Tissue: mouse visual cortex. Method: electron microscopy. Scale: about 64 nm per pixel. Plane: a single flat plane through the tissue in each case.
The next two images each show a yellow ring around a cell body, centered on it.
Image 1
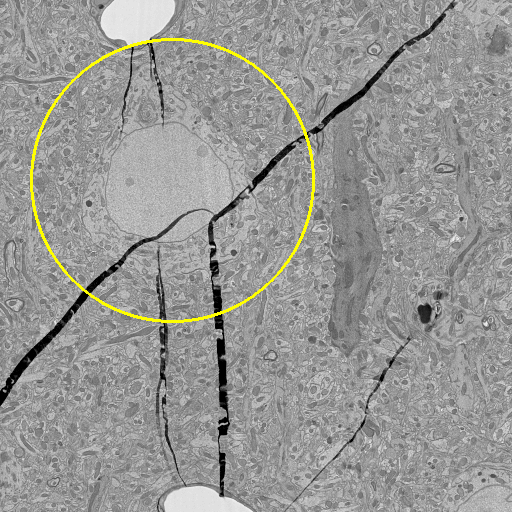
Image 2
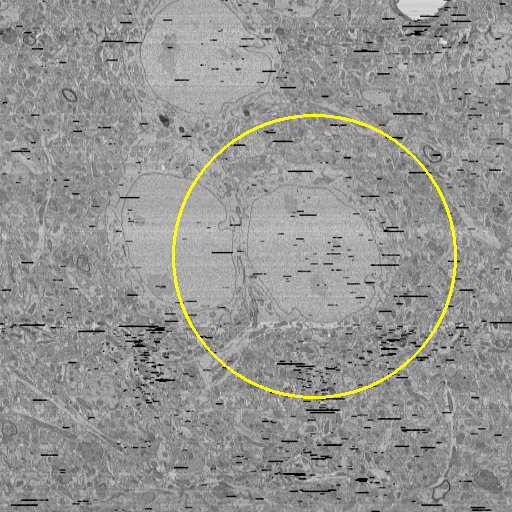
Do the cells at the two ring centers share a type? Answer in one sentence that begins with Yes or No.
Yes, across the two images the cells at the ring centers share one type.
